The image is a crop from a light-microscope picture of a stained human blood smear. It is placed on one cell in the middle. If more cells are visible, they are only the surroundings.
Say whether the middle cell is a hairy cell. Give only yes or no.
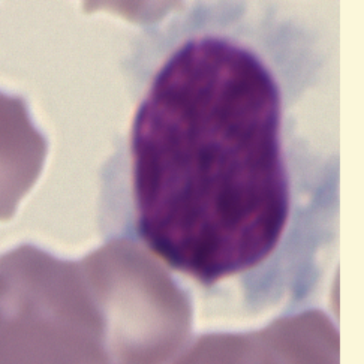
yes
